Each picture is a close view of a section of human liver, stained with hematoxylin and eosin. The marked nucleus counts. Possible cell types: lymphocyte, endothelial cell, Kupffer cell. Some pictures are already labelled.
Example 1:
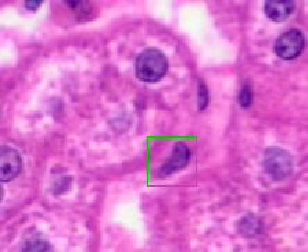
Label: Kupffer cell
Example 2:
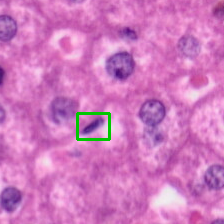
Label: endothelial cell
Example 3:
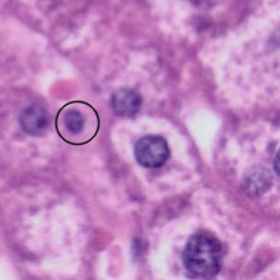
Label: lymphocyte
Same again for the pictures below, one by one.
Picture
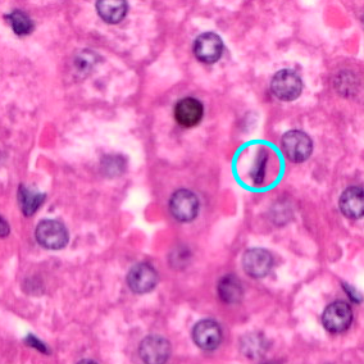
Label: endothelial cell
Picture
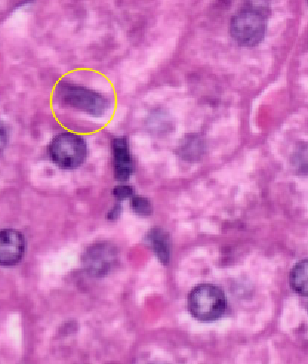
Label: Kupffer cell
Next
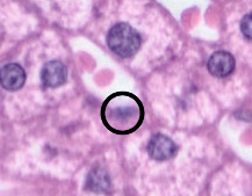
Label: endothelial cell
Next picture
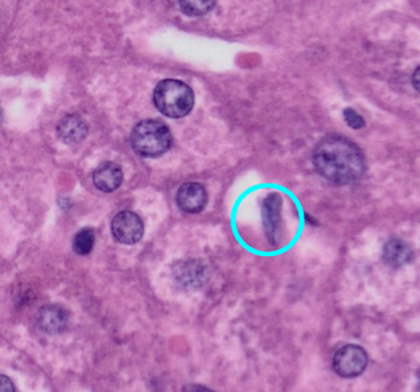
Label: Kupffer cell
